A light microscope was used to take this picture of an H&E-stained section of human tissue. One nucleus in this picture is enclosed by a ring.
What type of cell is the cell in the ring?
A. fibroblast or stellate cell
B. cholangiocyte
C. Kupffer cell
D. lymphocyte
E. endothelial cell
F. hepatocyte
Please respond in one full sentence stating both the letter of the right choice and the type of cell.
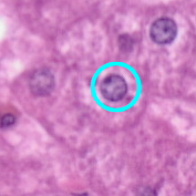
Among the choices, option F is correct, the cell in the ring being a hepatocyte.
